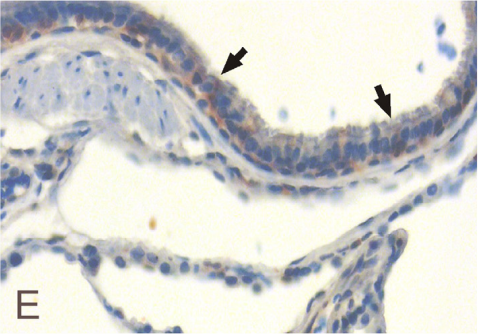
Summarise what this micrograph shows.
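Airway wall with bronchial epithelium above alveolar tissue. The epithelium is tall and pseudostratified, with densely packed oval blue nuclei at several levels and faint brown staining in the cytoplasm between them, strongest in parts of the lining. Beneath it lies a band of smooth muscle and pale connective tissue with elongated nuclei. Below, thin alveolar walls with rounded blue nuclei border open air spaces and are largely unstained.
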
